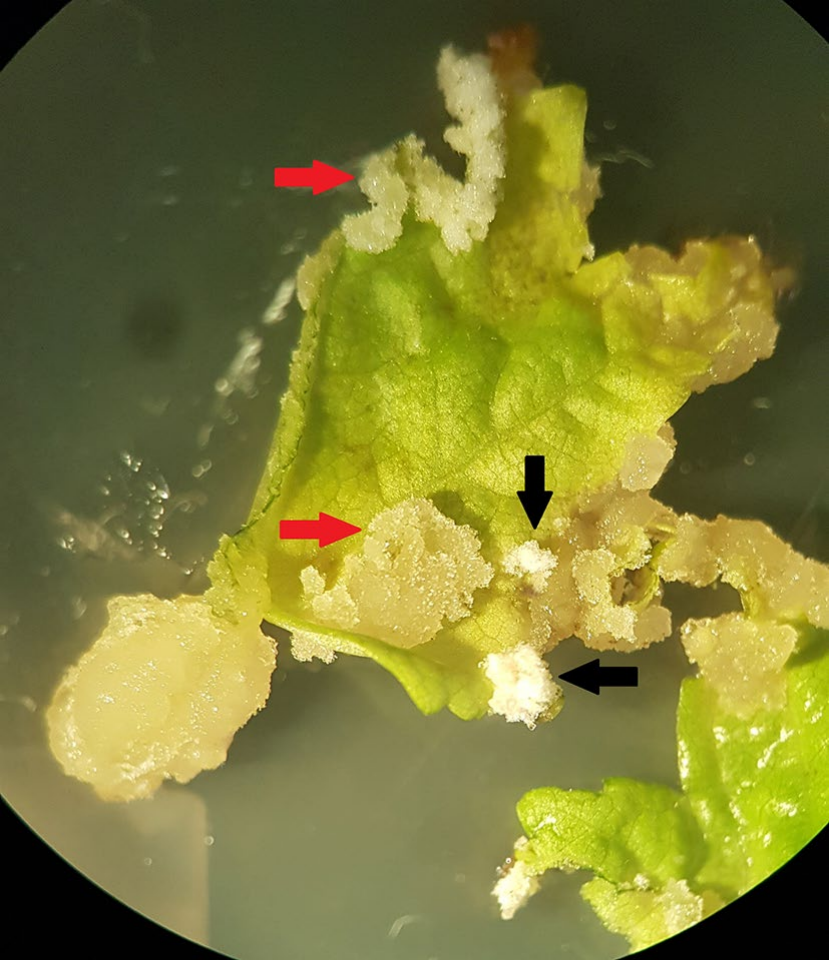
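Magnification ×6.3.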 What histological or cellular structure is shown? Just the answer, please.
calli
